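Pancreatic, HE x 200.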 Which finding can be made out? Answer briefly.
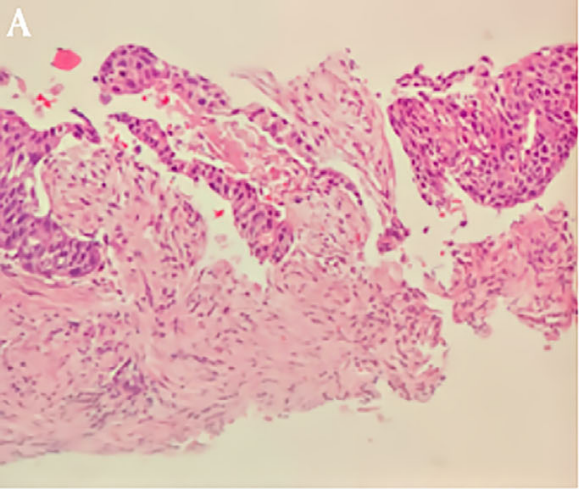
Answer: Squamous cell carcinoma.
